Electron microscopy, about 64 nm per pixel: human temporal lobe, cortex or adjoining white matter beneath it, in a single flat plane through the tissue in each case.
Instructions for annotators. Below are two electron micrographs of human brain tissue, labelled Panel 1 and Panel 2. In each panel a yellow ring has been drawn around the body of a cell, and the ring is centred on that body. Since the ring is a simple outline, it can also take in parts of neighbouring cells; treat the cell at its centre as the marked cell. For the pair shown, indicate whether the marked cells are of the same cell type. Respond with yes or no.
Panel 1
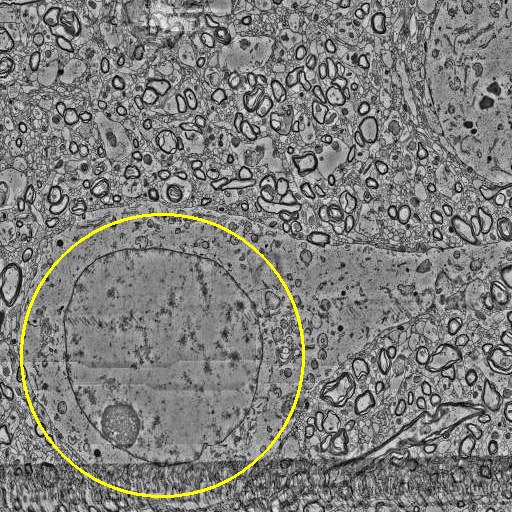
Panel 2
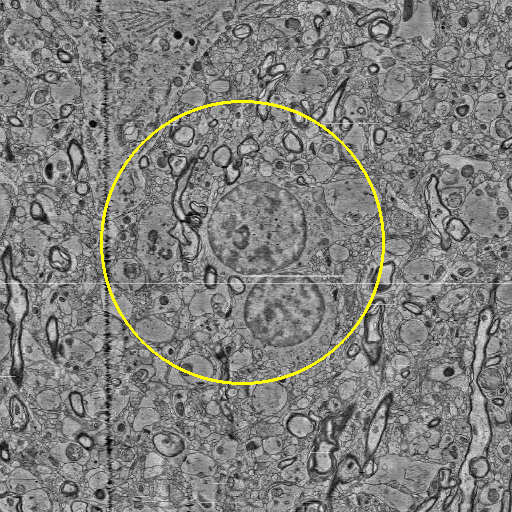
no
